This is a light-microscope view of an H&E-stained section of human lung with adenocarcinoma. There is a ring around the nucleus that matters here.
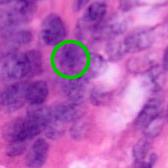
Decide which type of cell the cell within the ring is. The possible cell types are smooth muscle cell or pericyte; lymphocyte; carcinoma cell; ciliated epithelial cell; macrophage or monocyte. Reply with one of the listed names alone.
ciliated epithelial cell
